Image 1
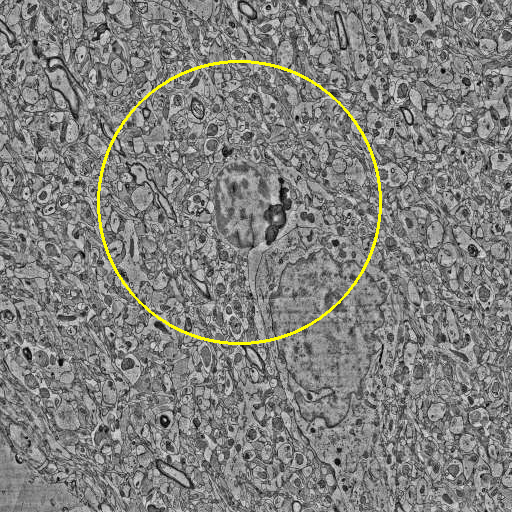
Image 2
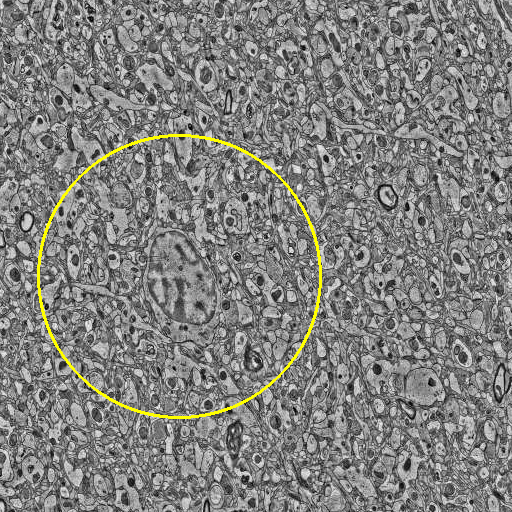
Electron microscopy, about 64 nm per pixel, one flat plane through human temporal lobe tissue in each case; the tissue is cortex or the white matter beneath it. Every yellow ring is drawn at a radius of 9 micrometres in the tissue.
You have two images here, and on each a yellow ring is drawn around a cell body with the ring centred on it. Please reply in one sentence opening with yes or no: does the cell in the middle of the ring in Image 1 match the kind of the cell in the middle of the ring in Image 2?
Yes, the two images show cells of one kind at the centres of their rings.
